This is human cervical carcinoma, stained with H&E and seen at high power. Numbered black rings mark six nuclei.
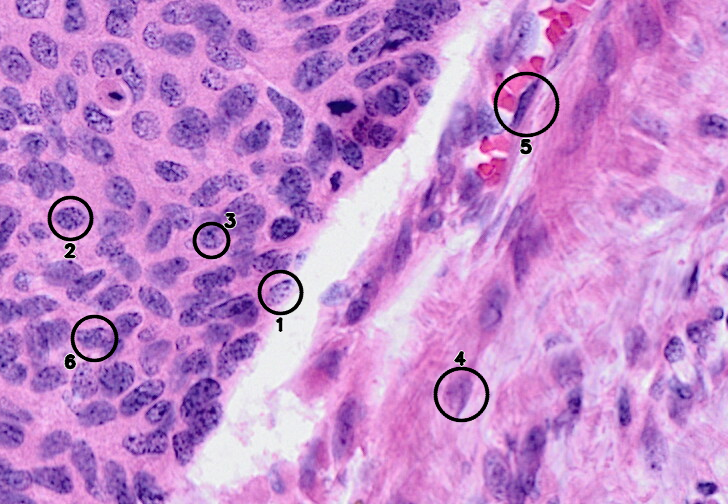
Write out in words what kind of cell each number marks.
Cell 1 is a squamous carcinoma cell, cell 2 is a squamous carcinoma cell, cell 3 is a squamous carcinoma cell, cell 4 is a fibroblast, cell 5 is an endothelial cell and cell 6 is a squamous carcinoma cell.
